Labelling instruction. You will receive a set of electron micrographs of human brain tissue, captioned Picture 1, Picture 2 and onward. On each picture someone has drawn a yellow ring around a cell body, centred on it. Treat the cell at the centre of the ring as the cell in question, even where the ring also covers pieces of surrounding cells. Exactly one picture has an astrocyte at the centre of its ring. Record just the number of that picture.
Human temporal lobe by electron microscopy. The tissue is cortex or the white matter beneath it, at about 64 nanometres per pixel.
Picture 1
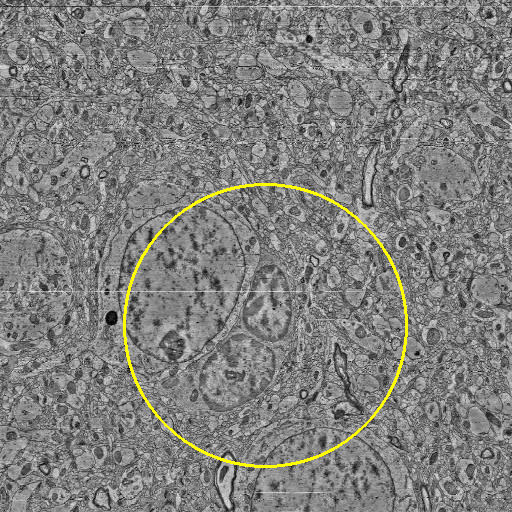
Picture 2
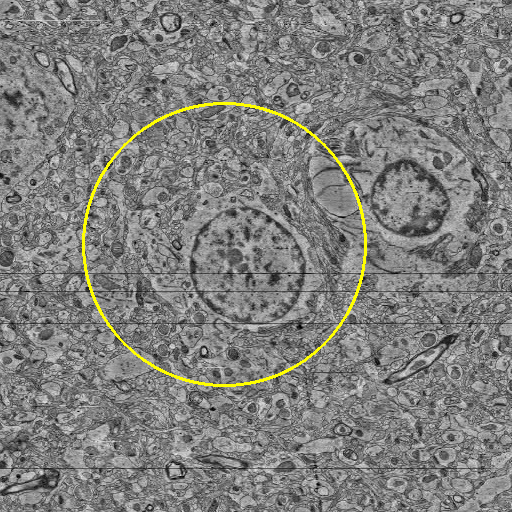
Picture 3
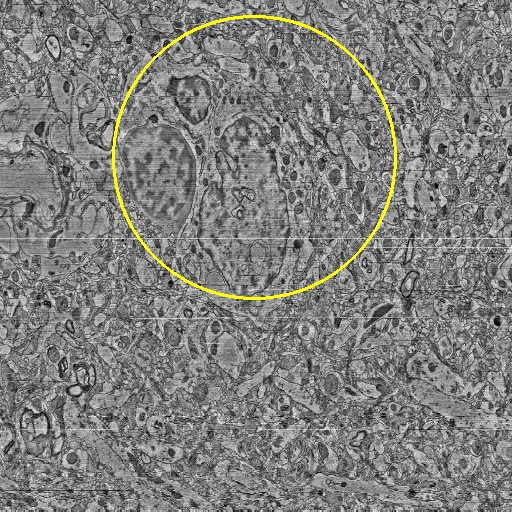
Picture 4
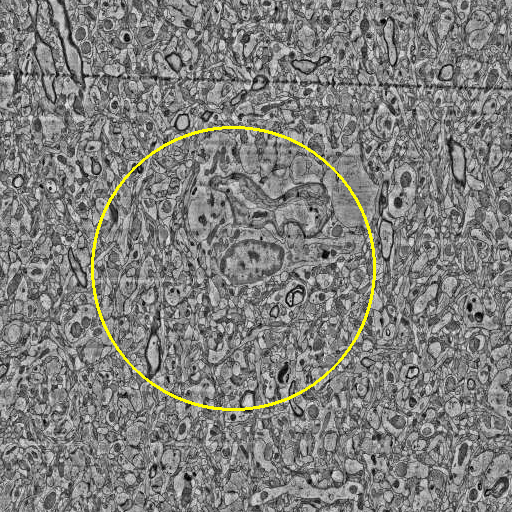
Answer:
2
